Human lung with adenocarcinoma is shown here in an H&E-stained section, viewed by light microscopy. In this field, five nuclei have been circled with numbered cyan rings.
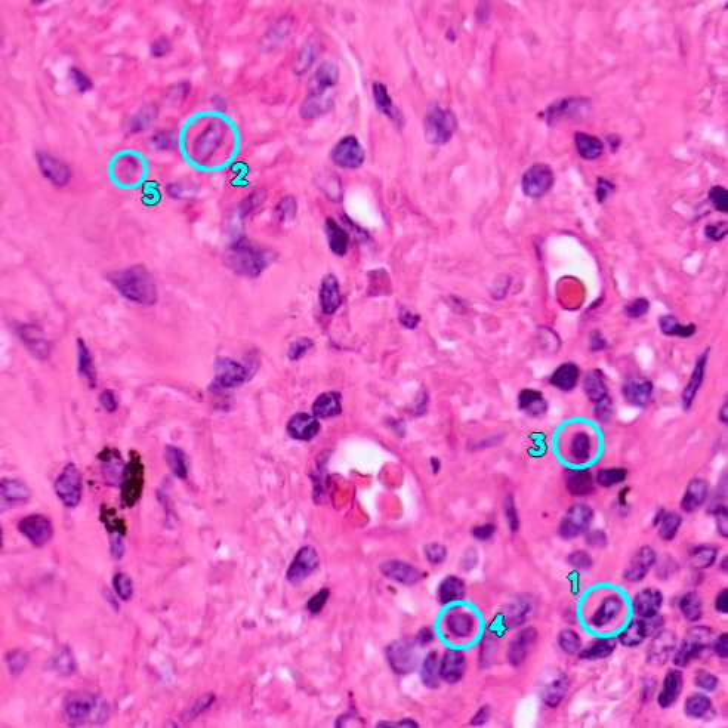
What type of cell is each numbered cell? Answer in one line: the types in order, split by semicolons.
lymphocyte; smooth muscle cell or pericyte; lymphocyte; lymphocyte; smooth muscle cell or pericyte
